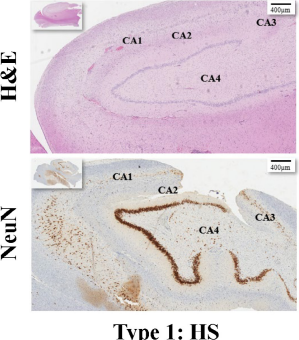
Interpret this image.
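In the lower image a dense, continuous brown band of small tightly packed cells forms a folded C-shaped granule cell layer. In the pink-purple image above, the same folded layer appears as a thin purple line within paler tissue. The central hilar region inside the curved band contains only scattered cells.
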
